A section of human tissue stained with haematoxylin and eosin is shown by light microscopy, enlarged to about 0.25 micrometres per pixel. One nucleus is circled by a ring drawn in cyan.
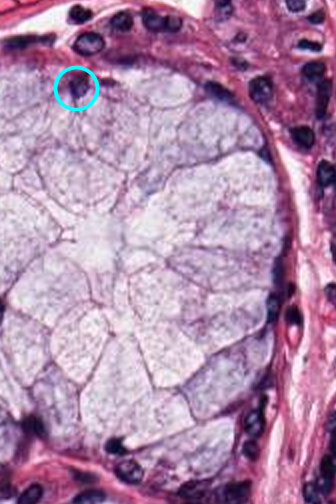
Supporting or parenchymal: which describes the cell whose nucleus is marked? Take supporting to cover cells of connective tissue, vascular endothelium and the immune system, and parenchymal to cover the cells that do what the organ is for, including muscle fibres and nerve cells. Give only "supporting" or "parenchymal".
parenchymal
